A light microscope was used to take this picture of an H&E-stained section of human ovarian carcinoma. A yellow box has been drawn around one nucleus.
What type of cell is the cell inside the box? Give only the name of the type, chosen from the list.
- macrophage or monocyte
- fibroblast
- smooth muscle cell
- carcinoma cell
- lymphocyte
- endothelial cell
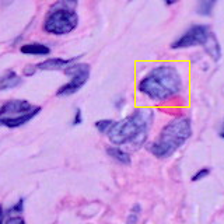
endothelial cell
